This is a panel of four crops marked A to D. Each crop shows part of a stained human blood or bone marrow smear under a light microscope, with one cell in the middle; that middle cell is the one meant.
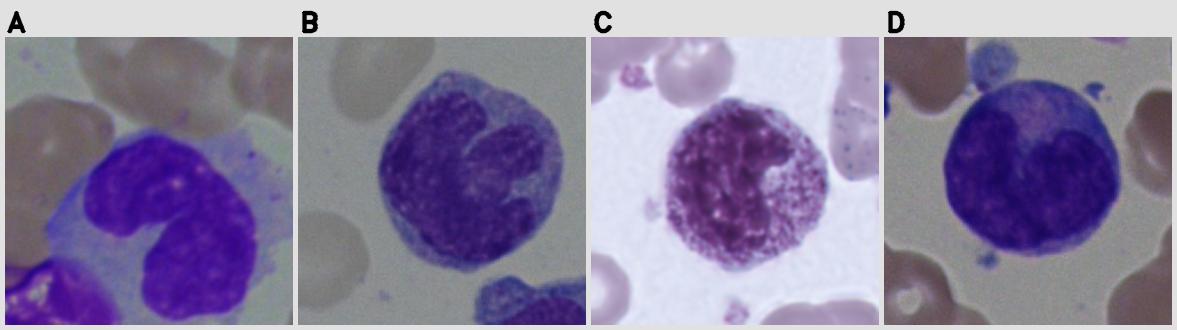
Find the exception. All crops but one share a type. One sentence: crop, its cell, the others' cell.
Crop C is the one to flag: it is a metamyelocyte, and the rest show monocytes.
